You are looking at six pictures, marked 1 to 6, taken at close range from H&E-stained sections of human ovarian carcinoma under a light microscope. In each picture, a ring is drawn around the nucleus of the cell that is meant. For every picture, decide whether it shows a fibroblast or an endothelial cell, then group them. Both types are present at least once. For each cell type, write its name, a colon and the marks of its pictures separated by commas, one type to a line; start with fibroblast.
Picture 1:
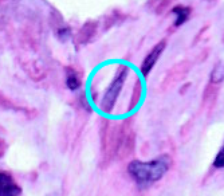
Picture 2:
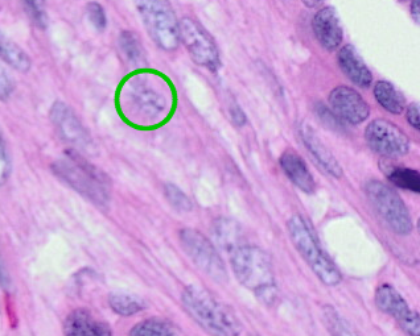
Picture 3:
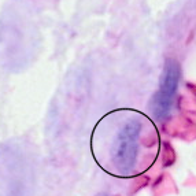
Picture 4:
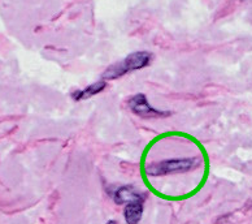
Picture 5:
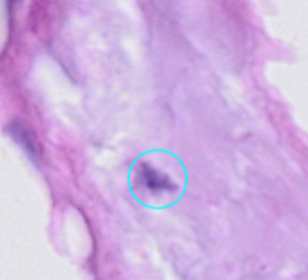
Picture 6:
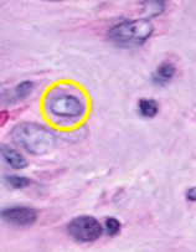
fibroblast: 1, 2, 4, 5
endothelial cell: 3, 6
